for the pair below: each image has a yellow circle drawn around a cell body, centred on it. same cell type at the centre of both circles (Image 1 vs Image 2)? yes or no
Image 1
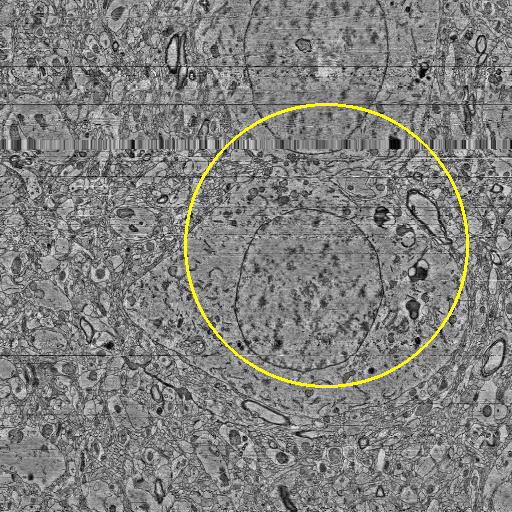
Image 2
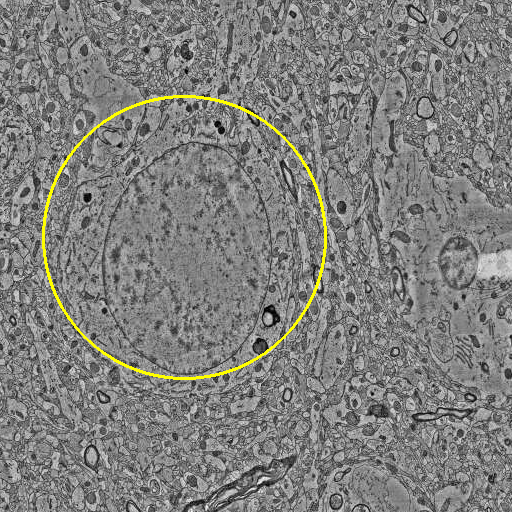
yes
